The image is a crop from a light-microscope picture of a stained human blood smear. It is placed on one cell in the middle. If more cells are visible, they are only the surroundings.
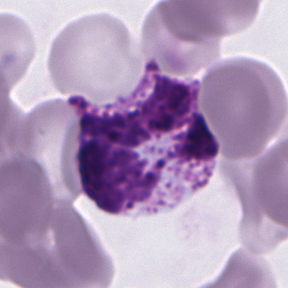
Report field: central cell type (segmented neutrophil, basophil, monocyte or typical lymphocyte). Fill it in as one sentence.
Answering briefly, the cell in the middle is a basophil.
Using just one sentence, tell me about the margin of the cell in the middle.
Rather than running smoothly, the cell border is ragged or carries projections.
